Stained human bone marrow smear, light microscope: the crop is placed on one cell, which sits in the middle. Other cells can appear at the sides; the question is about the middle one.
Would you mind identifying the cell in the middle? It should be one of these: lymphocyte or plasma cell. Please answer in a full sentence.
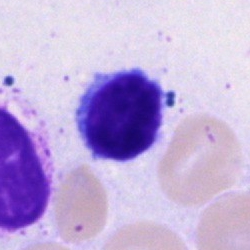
The cell at the centre of the field is a lymphocyte.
